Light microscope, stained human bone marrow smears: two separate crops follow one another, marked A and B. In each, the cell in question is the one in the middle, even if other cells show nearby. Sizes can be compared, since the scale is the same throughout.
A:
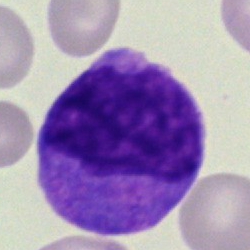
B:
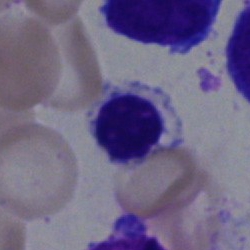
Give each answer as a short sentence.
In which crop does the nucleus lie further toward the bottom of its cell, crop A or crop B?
Seen within its cell, the nucleus in crop B lies further toward the bottom.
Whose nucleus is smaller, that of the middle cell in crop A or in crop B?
Crop B shows the smaller nucleus, since that in crop A covers about 4 times as much area.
